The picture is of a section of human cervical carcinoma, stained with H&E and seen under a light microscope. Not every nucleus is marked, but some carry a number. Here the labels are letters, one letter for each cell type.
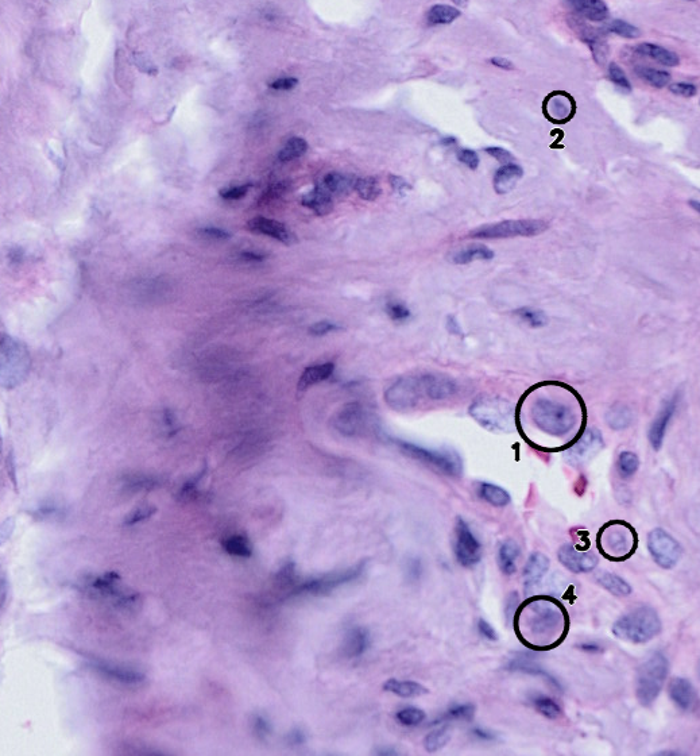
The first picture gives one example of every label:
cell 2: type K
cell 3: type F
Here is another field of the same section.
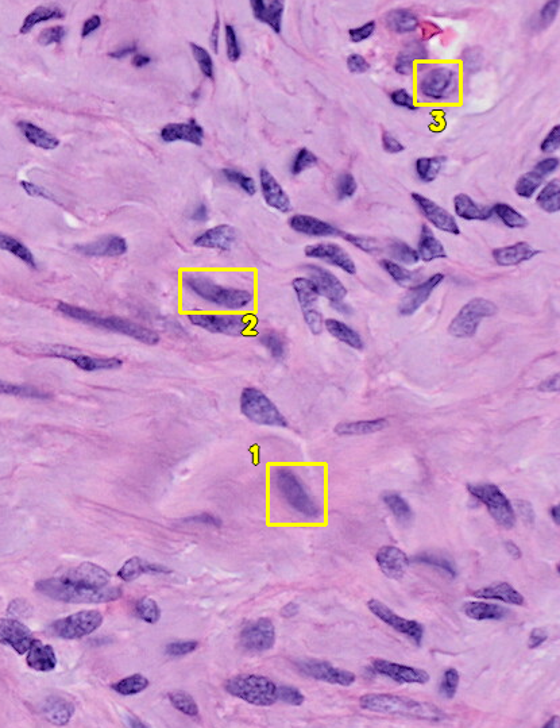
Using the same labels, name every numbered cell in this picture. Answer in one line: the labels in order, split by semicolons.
type K; type K; type F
